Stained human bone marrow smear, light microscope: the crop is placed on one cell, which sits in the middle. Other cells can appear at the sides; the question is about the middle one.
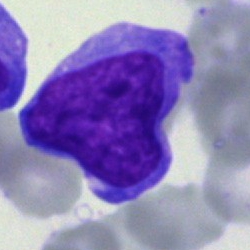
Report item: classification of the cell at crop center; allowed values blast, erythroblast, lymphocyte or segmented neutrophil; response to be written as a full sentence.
The cell featured at the centre of this crop is a blast.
